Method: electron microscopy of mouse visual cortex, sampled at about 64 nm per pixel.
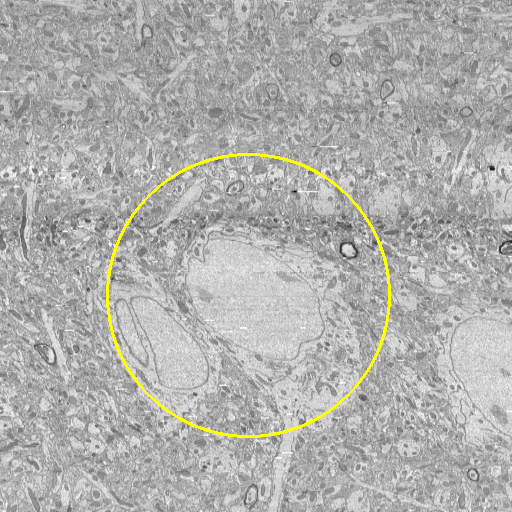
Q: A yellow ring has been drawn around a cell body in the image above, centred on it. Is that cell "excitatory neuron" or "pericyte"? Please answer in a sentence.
The ring surrounds the cell body of an excitatory neuron.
